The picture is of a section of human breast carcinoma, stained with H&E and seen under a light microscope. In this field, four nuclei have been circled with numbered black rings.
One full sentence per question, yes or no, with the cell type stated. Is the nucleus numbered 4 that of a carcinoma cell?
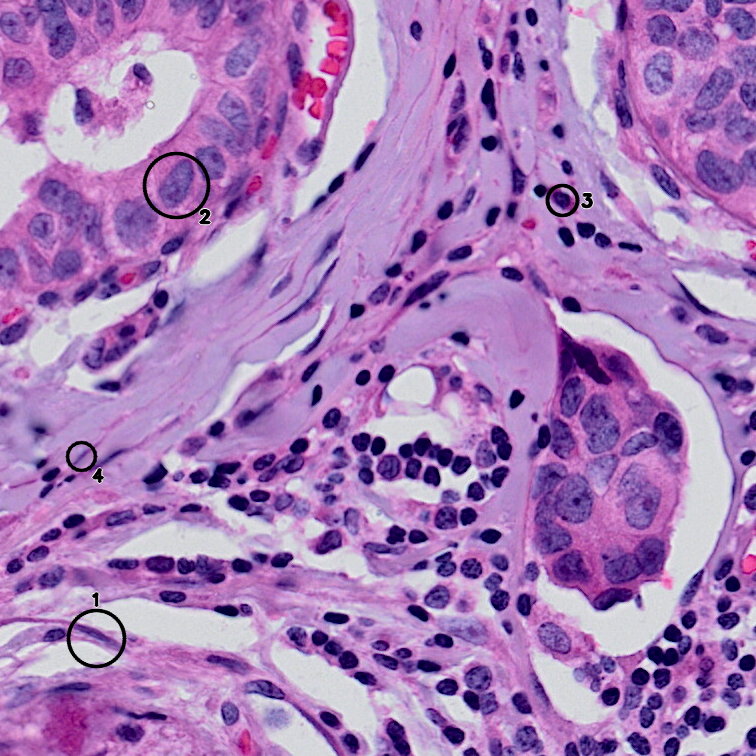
No, the cell given number 4 is a fibroblast, not a carcinoma cell.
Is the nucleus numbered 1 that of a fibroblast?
Yes, as for number 1, the cell is a fibroblast.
